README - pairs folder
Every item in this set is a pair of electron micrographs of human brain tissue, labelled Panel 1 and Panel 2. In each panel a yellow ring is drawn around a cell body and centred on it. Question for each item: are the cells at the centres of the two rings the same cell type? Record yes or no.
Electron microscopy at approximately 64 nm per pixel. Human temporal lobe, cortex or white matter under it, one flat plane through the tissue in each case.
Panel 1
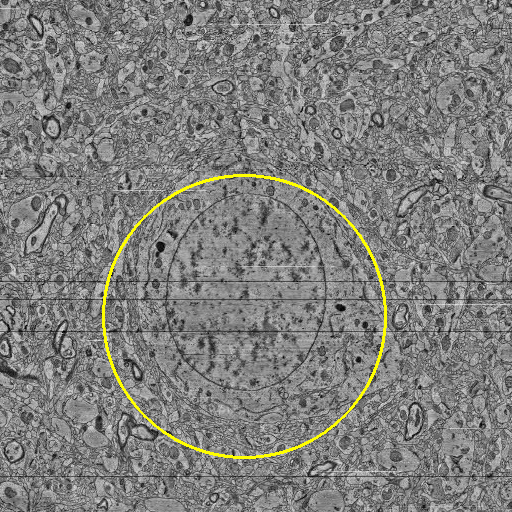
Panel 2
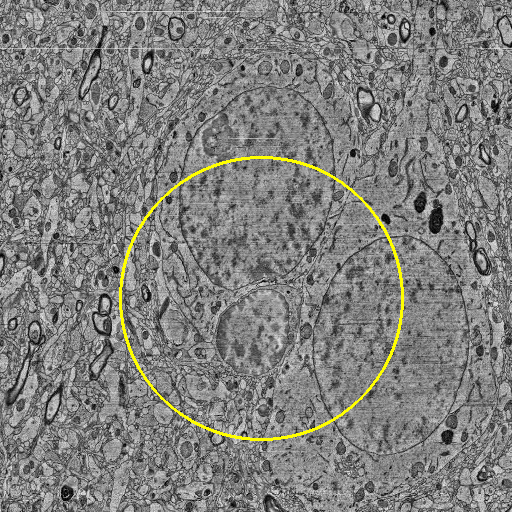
no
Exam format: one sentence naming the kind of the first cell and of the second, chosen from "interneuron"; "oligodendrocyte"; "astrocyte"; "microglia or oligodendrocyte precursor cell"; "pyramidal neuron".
The first picture's cell is a pyramidal neuron, and the second picture's cell is an oligodendrocyte.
